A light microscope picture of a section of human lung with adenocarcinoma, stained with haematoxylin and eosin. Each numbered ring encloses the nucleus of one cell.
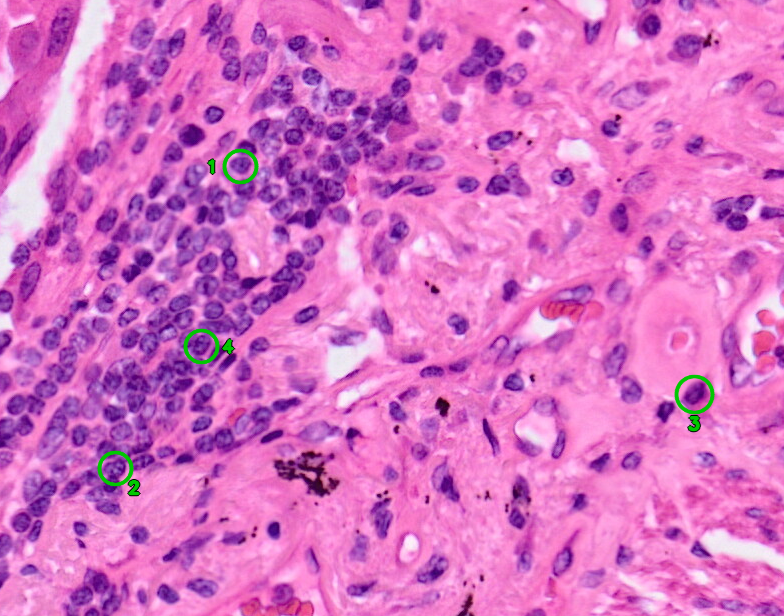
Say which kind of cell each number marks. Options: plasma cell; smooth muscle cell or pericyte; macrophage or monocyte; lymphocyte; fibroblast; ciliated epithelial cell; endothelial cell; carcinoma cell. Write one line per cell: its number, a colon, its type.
1: lymphocyte
2: lymphocyte
3: plasma cell
4: lymphocyte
